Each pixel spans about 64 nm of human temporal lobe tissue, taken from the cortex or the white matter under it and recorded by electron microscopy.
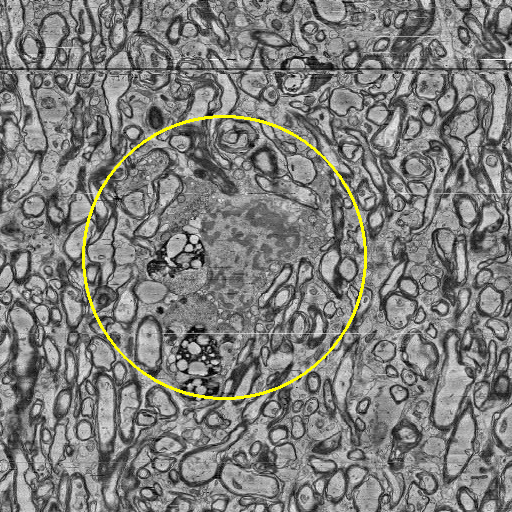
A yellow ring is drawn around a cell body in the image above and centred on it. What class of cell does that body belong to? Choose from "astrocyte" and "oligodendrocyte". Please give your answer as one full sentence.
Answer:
The yellow ring above is centred on the cell body of an astrocyte.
